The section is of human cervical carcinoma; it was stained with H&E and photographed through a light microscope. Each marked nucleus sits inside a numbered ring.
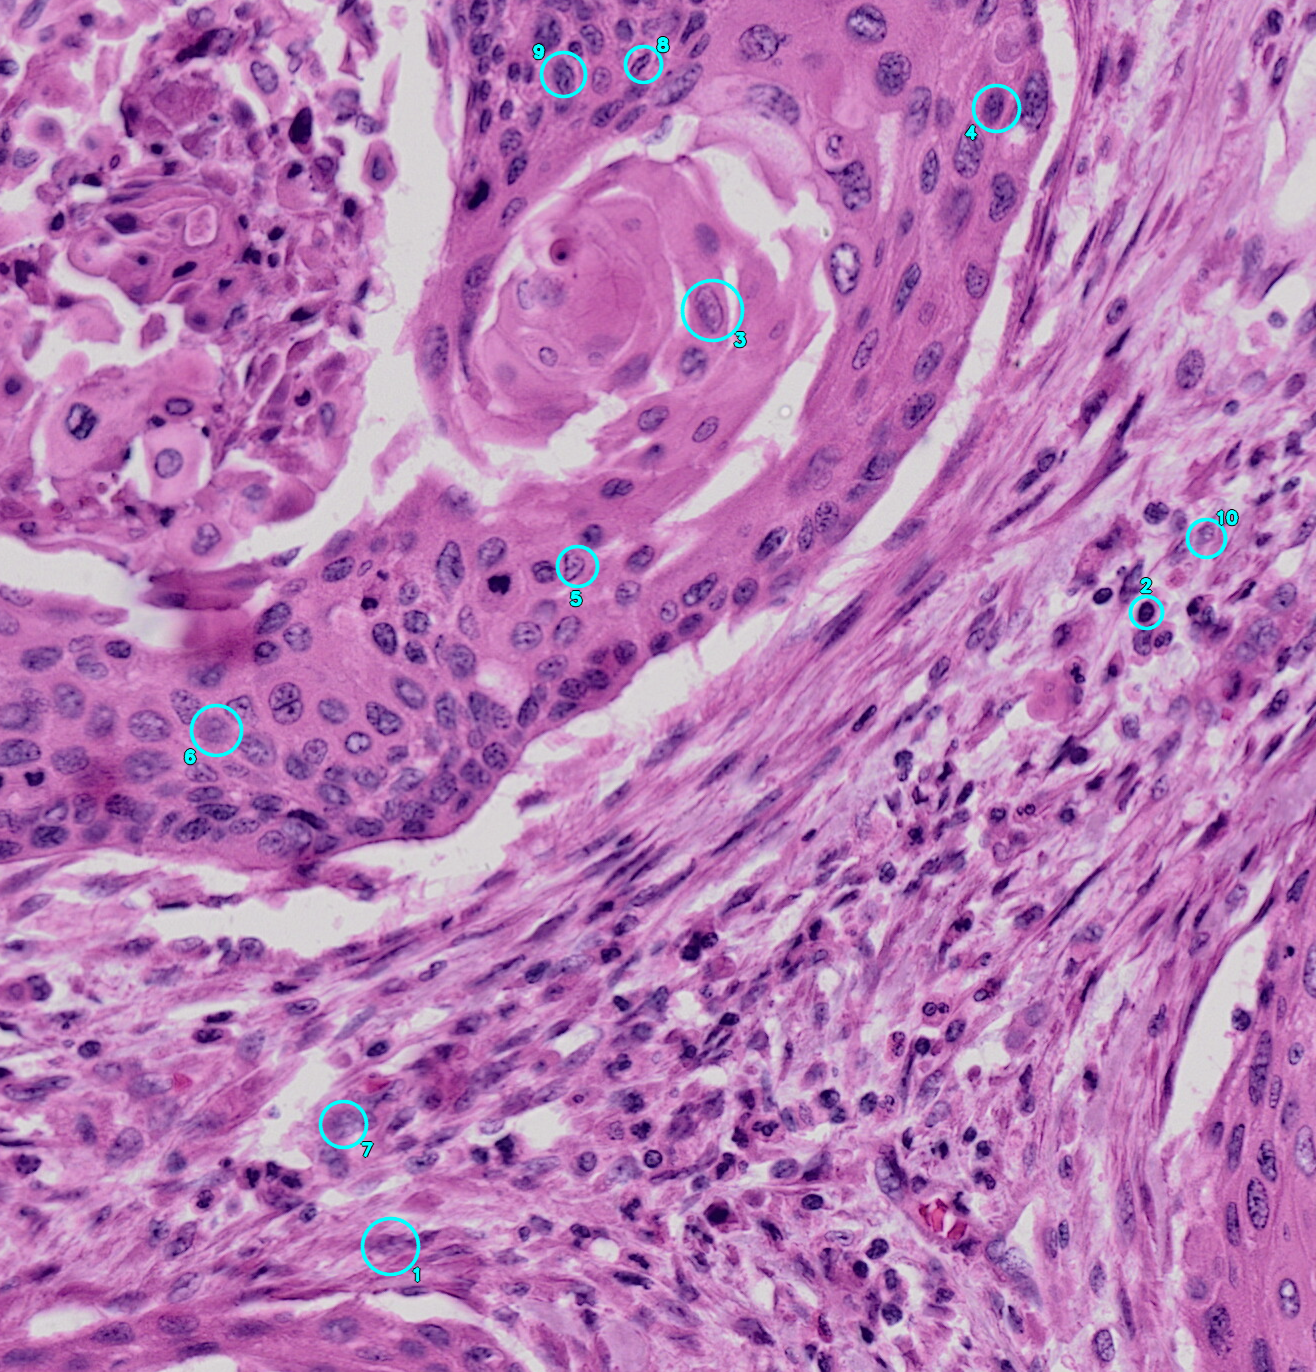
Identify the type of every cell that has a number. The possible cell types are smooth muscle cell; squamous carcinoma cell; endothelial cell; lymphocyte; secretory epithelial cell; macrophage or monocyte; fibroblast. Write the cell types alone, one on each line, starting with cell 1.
fibroblast
lymphocyte
squamous carcinoma cell
squamous carcinoma cell
squamous carcinoma cell
squamous carcinoma cell
endothelial cell
squamous carcinoma cell
squamous carcinoma cell
fibroblast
